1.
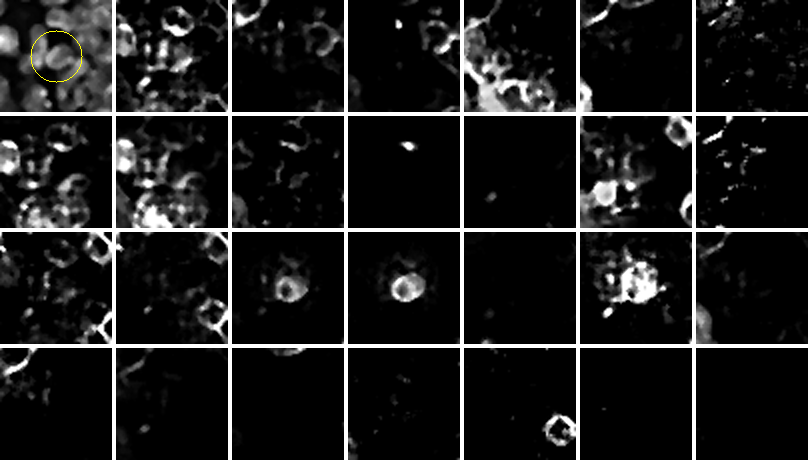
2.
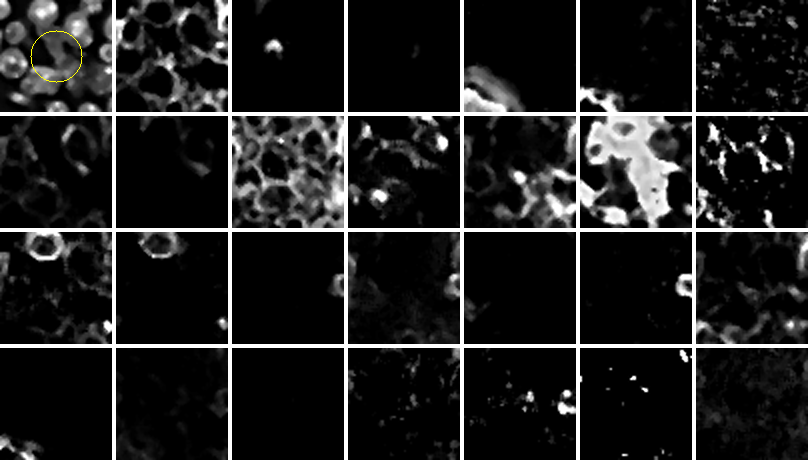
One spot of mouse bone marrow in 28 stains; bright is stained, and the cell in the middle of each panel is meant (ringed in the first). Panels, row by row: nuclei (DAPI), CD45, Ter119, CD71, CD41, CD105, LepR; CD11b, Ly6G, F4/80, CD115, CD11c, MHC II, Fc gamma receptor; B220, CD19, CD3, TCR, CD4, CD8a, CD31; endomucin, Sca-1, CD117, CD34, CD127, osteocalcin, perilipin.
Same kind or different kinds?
Different: the first is a CD8 T cell, the second a conventional dendritic cell.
